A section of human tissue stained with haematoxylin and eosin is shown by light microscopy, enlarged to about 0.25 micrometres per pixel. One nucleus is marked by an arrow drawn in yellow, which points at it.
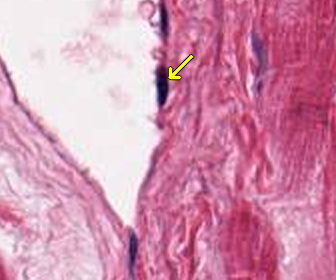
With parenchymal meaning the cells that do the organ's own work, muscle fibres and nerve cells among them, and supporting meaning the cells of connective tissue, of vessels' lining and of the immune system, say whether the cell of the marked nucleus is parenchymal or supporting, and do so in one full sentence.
The marked nucleus is the nucleus of a supporting cell in this section.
